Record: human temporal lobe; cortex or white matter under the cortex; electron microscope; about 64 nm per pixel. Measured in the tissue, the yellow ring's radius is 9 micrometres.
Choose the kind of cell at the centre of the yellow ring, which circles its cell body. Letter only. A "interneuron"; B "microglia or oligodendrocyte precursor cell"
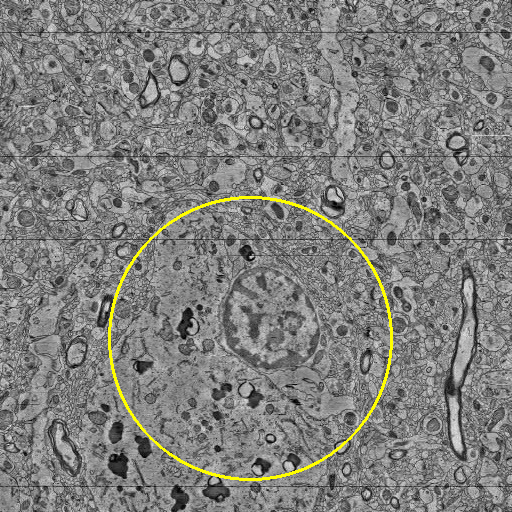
B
